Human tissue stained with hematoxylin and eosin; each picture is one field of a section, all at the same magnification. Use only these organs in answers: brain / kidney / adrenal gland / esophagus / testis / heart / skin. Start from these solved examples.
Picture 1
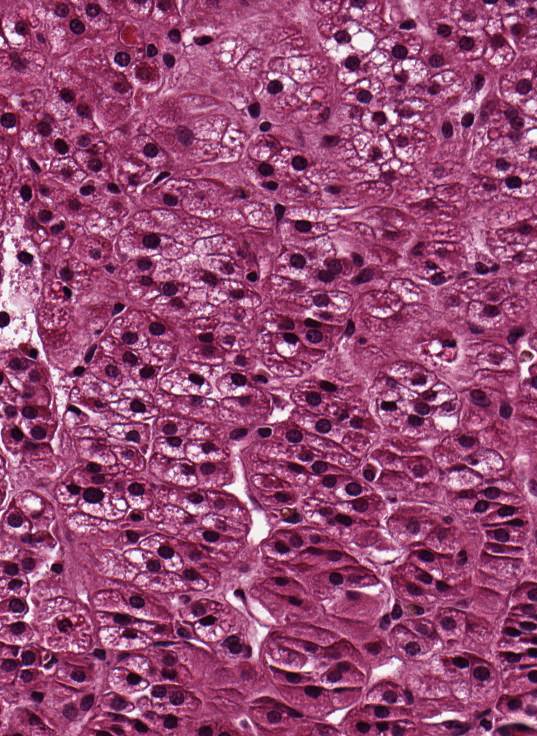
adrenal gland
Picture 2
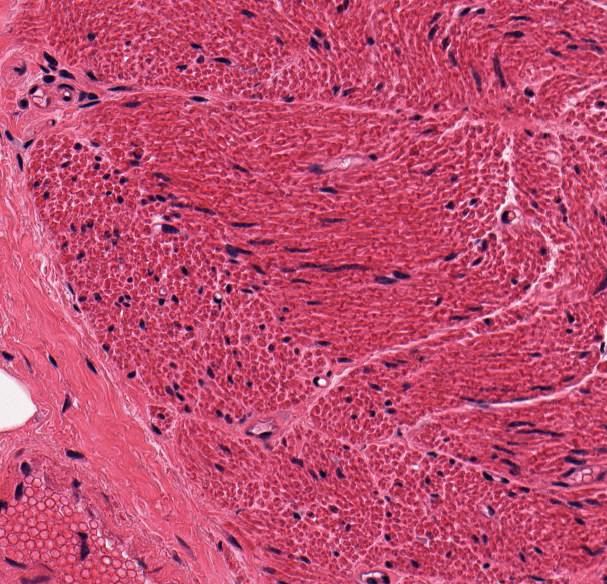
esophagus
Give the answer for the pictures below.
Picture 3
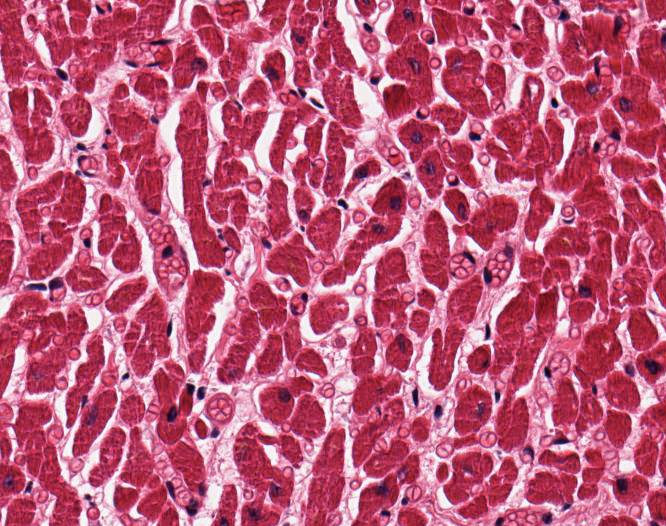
heart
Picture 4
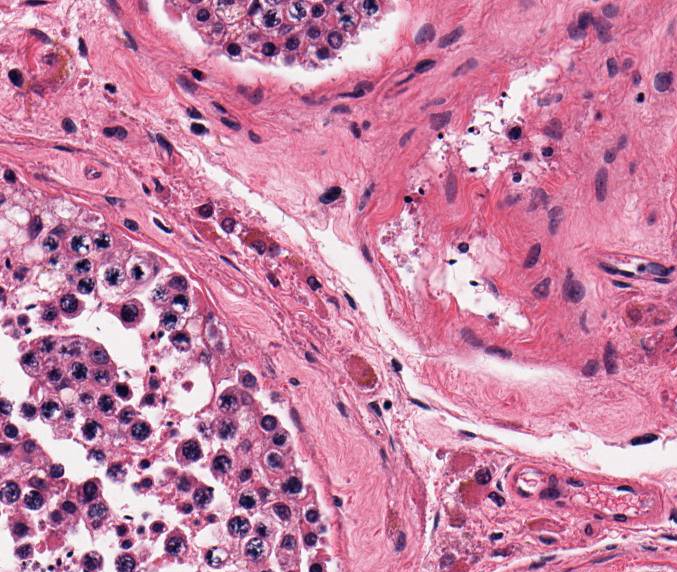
testis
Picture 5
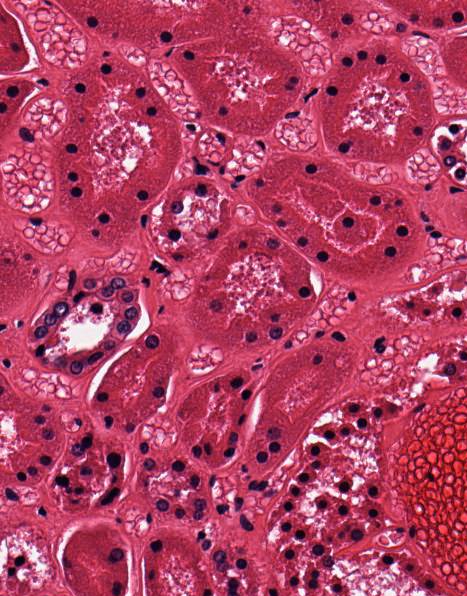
kidney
